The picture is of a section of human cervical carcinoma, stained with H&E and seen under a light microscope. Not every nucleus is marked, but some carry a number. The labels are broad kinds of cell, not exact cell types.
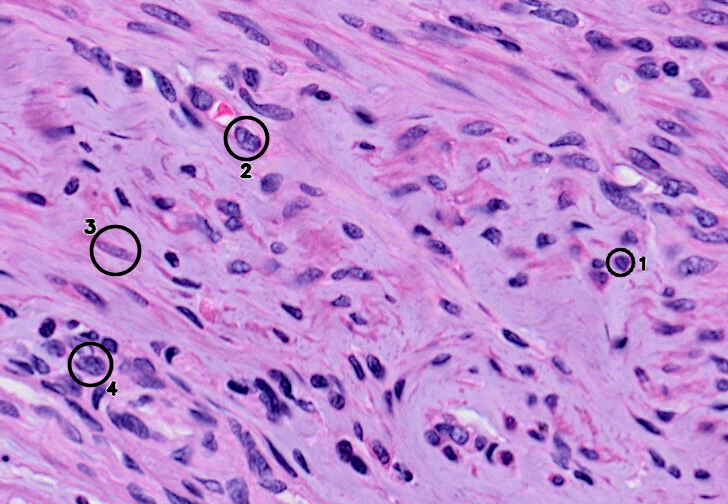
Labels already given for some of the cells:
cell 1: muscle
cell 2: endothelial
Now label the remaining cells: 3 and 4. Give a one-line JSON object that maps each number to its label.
{"3": "muscle", "4": "endothelial"}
